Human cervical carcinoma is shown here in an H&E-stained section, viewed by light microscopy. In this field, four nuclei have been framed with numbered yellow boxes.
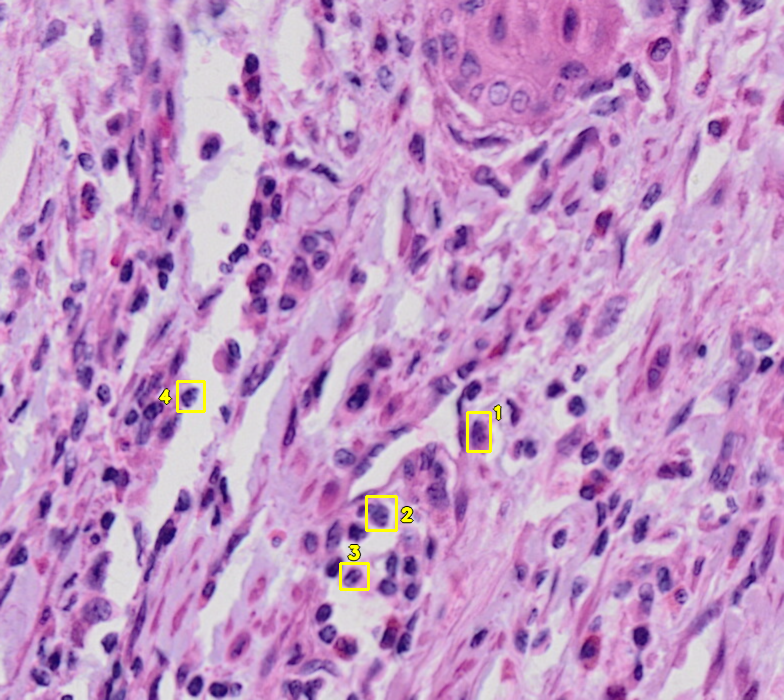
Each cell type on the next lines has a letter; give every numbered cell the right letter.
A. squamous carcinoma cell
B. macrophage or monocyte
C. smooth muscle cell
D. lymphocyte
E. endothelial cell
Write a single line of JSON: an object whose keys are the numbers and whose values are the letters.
{"1": "B", "2": "D", "3": "D", "4": "D"}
